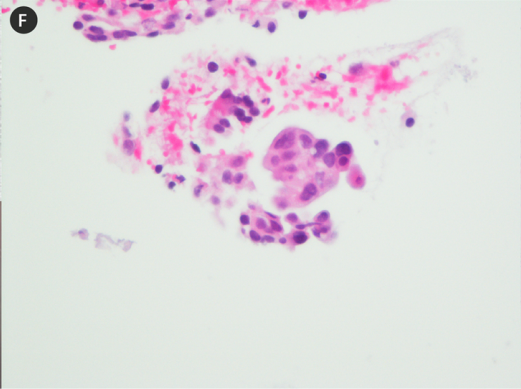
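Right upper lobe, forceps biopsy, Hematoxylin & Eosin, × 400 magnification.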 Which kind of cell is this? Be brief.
Atypical cells.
